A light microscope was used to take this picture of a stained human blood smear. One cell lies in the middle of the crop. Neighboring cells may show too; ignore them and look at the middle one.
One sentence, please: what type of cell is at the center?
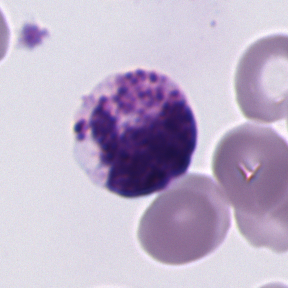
Where the crop is centred, there is a basophil.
